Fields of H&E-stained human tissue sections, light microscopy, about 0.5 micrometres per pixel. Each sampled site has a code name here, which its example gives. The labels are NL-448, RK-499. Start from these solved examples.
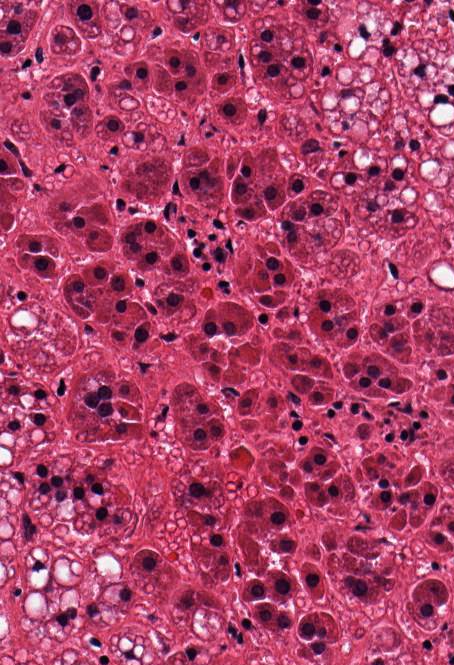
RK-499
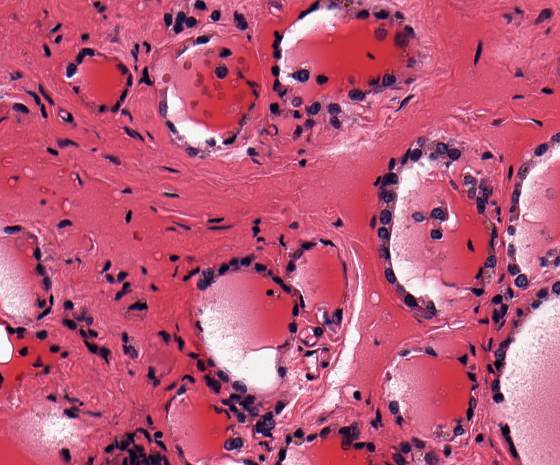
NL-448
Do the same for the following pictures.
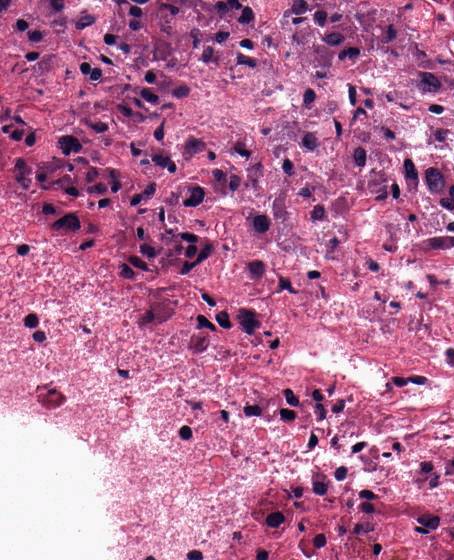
RK-499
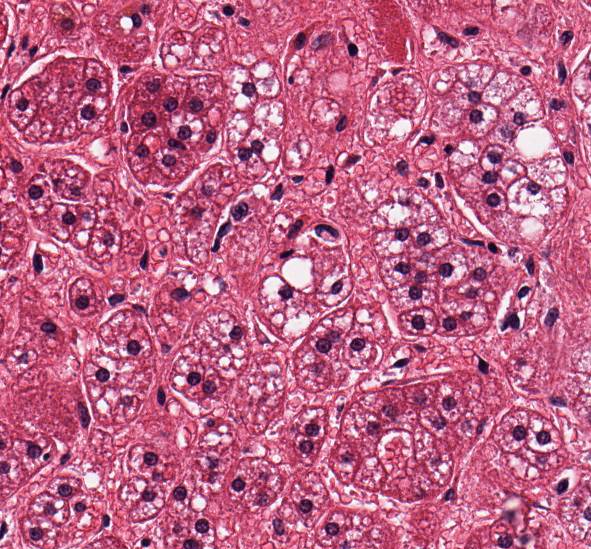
RK-499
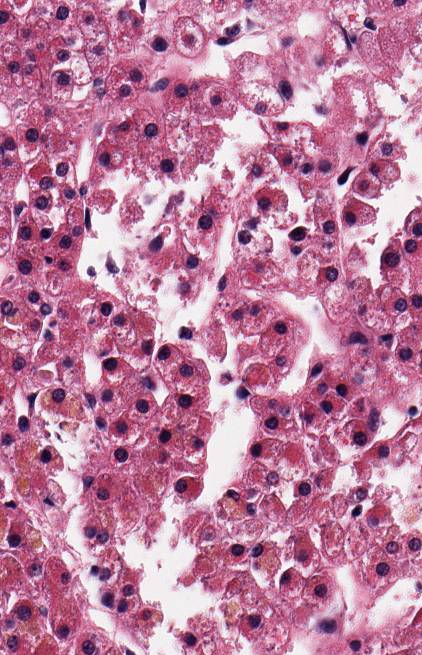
RK-499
